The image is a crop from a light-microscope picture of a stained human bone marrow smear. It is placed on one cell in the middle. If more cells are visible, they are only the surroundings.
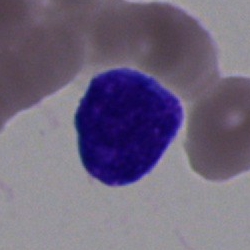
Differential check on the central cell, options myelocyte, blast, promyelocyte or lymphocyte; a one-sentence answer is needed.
At the center of the crop sits a blast.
